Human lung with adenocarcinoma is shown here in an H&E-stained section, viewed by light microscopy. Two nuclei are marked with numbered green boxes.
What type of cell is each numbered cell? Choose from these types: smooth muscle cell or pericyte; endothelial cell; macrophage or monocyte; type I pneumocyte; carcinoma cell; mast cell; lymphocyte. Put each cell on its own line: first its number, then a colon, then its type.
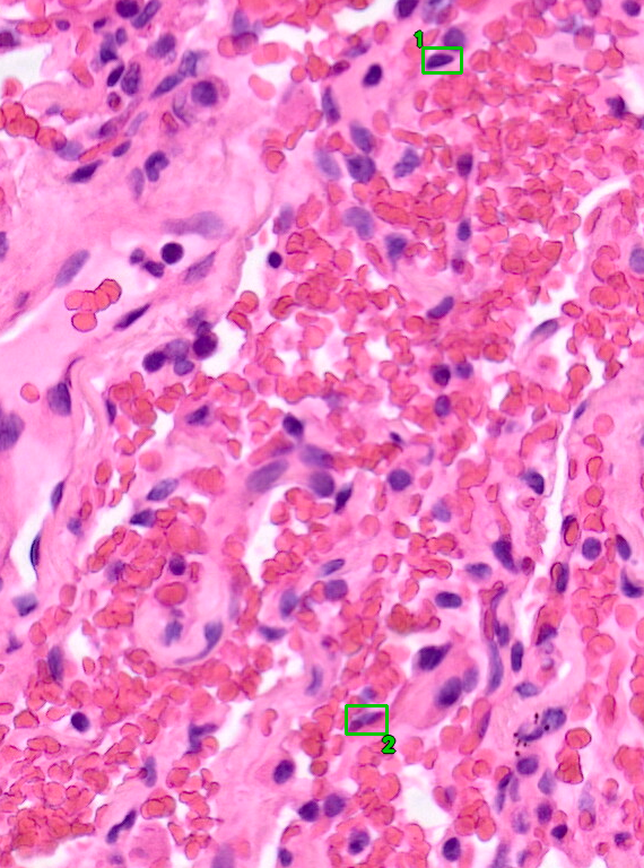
1: type I pneumocyte
2: endothelial cell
